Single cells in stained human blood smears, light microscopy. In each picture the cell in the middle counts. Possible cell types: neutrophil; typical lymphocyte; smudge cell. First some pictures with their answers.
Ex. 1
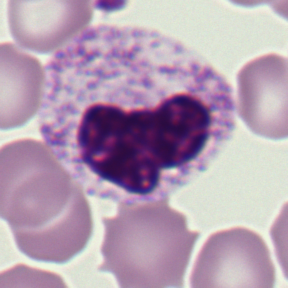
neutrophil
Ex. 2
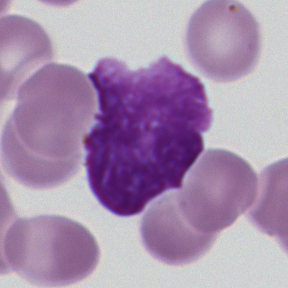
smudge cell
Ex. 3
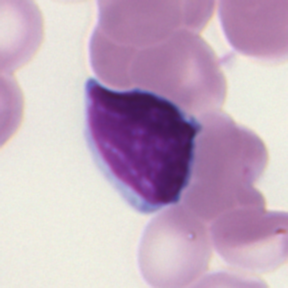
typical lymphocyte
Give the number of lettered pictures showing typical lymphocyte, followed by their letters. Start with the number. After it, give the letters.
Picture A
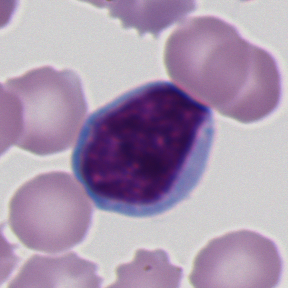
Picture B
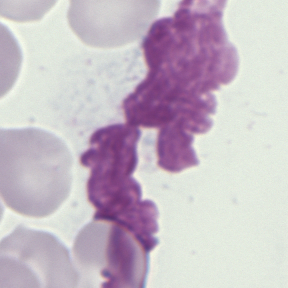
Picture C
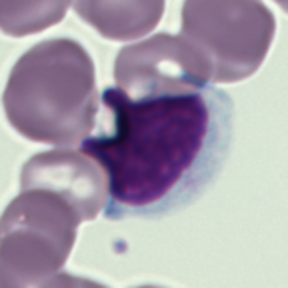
2, namely A, C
